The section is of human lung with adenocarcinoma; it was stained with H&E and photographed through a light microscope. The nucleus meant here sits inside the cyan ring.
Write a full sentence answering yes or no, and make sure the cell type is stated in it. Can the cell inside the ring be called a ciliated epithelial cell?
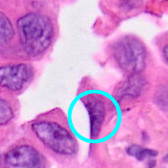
No, the cell inside the ring counts as a carcinoma cell rather than as a ciliated epithelial cell.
